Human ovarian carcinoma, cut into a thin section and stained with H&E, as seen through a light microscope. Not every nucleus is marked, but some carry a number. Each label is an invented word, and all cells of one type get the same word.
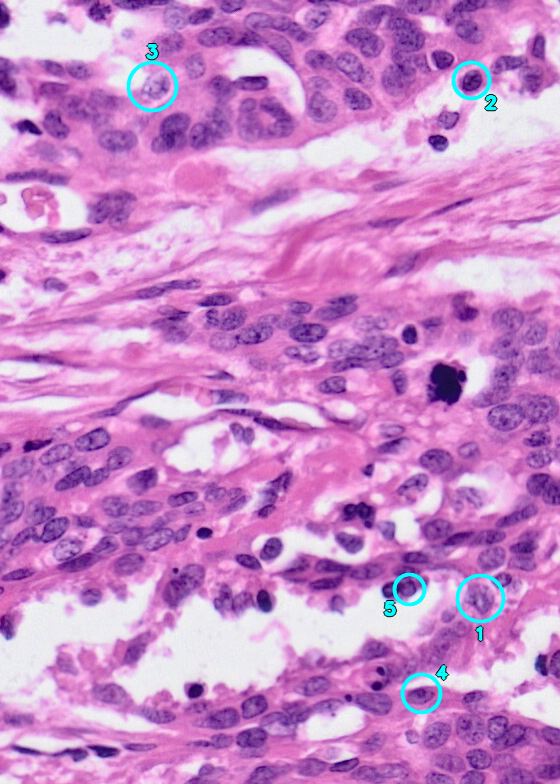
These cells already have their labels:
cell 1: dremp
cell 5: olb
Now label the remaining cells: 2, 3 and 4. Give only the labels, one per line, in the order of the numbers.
dremp
dremp
olb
